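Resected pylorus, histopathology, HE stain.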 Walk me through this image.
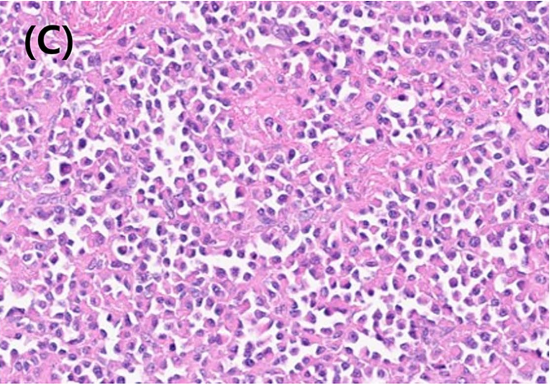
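A dense, diffuse infiltrate of loosely packed round to oval cells fills the field, with only thin strands of pink connective tissue running between them. Most cells have a single round, darkly stained purple nucleus that sits off-centre, beside a moderate rim of pink cytoplasm. The cells lie in sheets rather than forming glands or other organised structures. This is the appearance of a heavy infiltrate of plasma cells.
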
